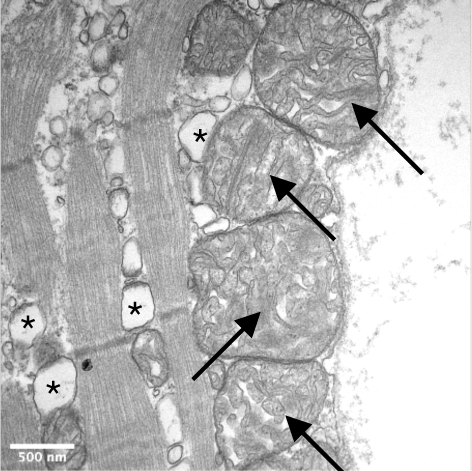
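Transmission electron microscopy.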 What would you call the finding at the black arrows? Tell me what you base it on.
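Abnormal mitochondrial morphology. The marked organelles are large and rounded beneath the fibre surface. Their inner membranes are disorganised and whorled.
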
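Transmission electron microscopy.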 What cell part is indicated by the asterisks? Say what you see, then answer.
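Sarcoplasmic reticulum membranes. Each asterisk sits in a pale, membrane-bound vesicle among the myofibrils.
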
